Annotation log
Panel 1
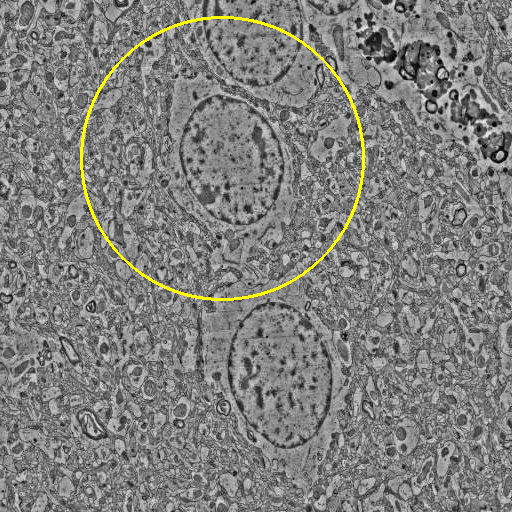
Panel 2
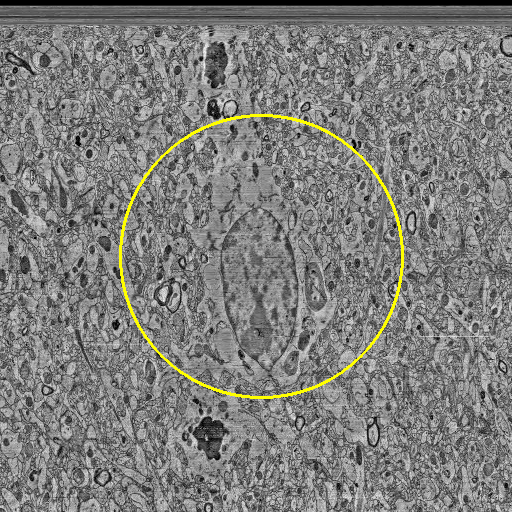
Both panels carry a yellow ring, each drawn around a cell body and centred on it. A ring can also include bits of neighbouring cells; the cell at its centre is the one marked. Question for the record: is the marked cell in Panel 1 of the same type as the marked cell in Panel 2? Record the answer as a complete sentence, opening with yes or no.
Yes, the marked cells in Panel 1 and Panel 2 are of the same type.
